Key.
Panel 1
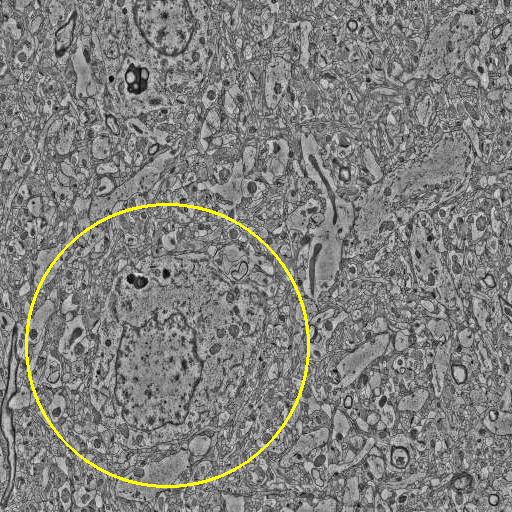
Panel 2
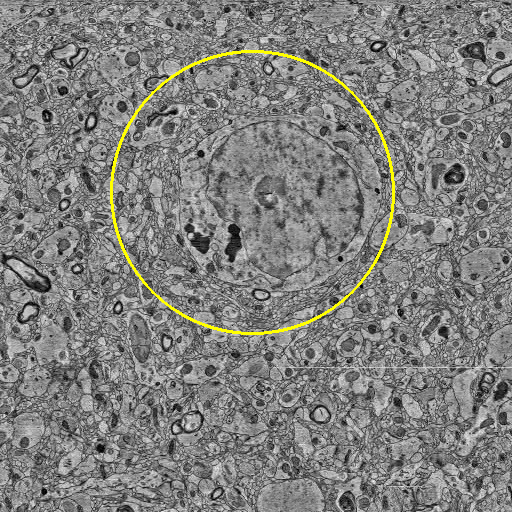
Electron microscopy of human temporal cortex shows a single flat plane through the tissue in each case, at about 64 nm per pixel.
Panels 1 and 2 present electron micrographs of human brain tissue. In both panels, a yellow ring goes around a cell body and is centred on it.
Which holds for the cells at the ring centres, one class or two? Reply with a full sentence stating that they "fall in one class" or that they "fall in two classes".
Taken together, the ring-centre cells of the two panels fall in two classes.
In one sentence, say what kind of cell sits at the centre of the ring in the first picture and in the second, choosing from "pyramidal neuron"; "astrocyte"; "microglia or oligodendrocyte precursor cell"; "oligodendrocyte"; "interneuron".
The first picture's ringed cell is a pyramidal neuron, while the second picture's is an interneuron.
